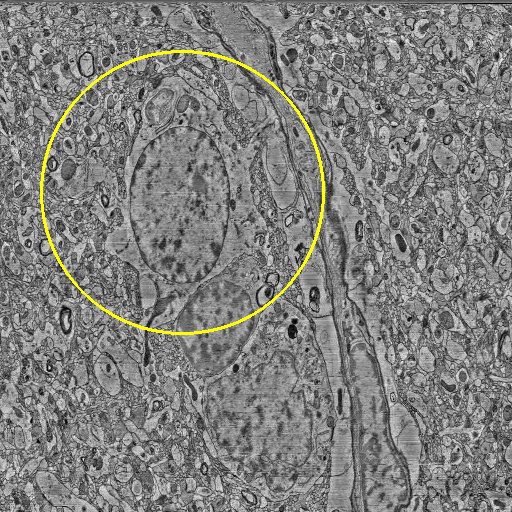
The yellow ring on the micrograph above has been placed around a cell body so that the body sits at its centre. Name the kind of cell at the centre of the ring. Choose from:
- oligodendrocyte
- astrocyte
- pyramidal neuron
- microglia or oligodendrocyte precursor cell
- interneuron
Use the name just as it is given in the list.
astrocyte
